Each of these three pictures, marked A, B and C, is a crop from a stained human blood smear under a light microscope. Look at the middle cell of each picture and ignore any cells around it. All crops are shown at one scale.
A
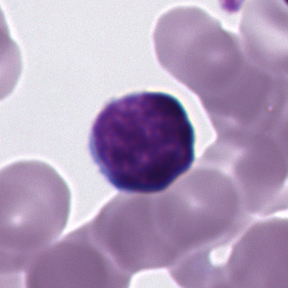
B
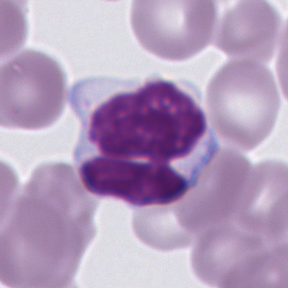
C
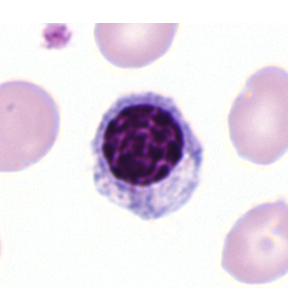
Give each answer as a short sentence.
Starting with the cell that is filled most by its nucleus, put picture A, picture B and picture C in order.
The most filled comes first: A, B, C.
